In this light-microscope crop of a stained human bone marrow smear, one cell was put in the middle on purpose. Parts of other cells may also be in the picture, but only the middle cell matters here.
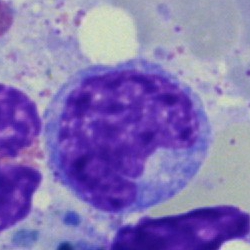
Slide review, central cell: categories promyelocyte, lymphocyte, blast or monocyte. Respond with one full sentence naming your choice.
The cell that lies at the centre of the crop is a monocyte.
